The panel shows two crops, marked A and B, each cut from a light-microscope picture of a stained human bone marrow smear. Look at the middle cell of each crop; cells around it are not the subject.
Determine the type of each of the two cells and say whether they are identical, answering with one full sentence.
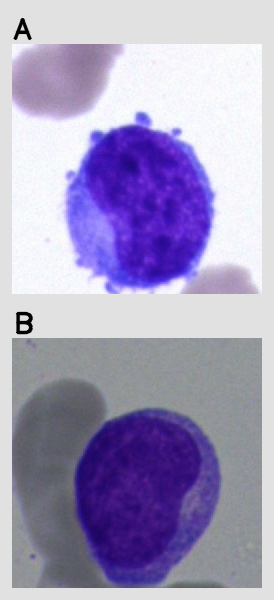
Yes, the same answer goes for both crops, namely blasts.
